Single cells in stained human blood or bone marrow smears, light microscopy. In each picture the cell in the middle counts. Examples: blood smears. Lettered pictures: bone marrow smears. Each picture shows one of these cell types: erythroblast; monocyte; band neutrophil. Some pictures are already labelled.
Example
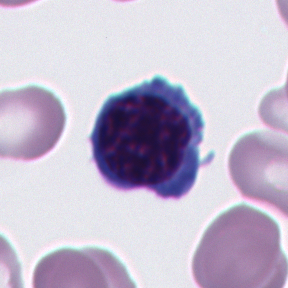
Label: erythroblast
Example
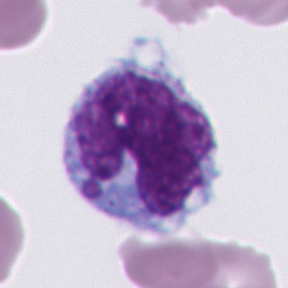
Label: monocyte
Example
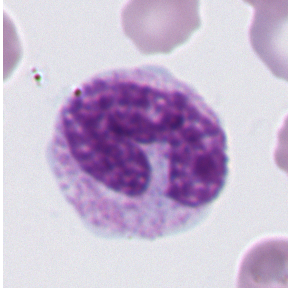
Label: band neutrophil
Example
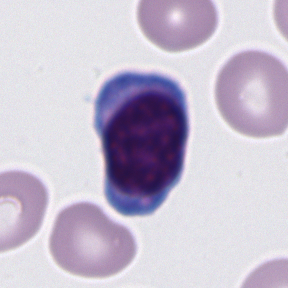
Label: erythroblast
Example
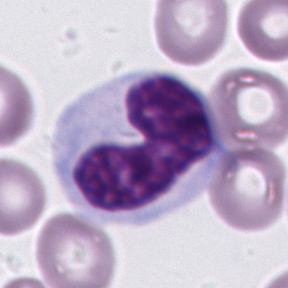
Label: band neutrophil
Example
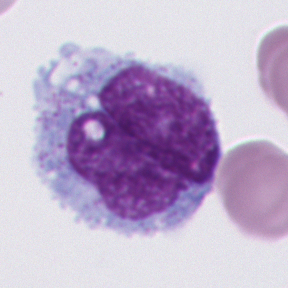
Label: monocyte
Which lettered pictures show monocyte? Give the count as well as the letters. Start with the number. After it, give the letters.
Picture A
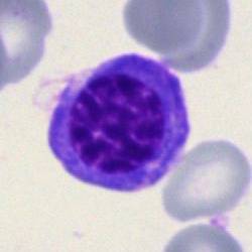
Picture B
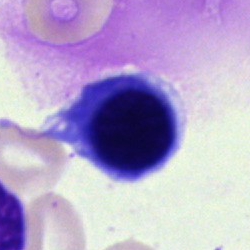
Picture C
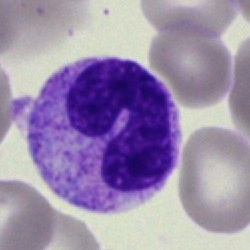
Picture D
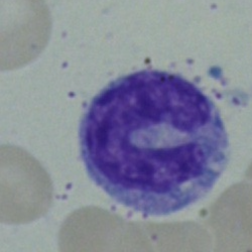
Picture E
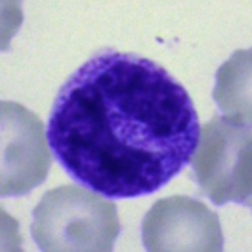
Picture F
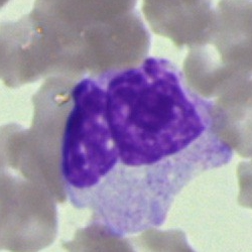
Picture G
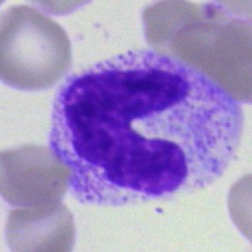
2, namely D, F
